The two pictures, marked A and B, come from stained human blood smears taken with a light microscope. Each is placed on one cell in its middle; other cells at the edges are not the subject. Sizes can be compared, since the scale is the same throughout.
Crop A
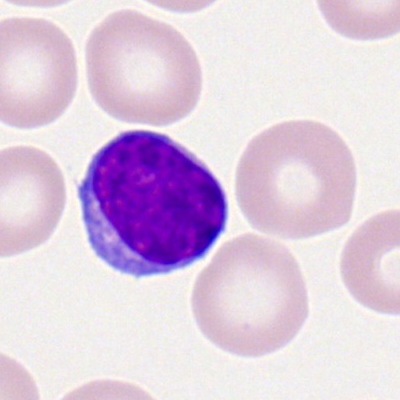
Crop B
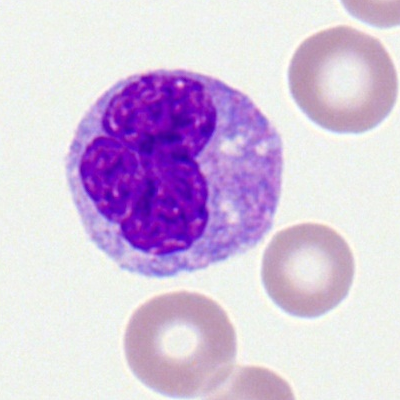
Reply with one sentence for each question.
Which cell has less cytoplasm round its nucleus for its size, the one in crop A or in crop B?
In crop A the nucleus takes up the larger part of its cell.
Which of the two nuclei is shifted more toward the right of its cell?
It is the nucleus in crop A that lies further toward the right of its cell.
